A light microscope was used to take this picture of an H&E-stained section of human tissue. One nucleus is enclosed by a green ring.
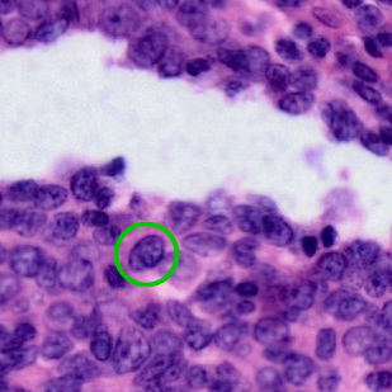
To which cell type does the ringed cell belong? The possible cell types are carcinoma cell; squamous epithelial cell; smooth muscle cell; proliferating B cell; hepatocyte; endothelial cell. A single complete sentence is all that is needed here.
Microscopically, the ringed cell is categorized as a proliferating B cell.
